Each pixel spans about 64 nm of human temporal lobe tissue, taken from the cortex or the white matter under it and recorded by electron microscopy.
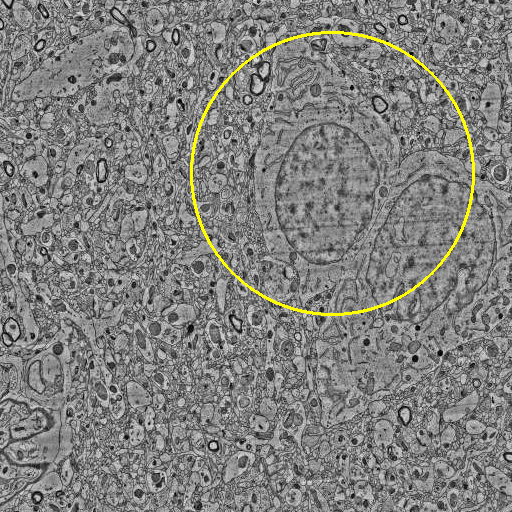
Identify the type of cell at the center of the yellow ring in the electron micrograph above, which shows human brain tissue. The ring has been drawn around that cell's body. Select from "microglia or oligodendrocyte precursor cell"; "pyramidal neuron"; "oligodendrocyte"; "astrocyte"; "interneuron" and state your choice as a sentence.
The yellow ring is centered on the body of an interneuron.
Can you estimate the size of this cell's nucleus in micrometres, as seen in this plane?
In this plane, the nucleus is roughly 9 by 6 micrometres.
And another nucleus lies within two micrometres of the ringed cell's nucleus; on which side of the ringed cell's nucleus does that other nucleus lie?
The other one is to the lower right of it.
